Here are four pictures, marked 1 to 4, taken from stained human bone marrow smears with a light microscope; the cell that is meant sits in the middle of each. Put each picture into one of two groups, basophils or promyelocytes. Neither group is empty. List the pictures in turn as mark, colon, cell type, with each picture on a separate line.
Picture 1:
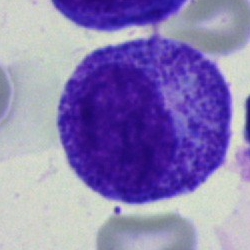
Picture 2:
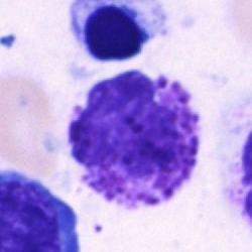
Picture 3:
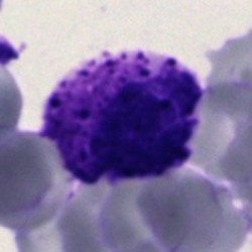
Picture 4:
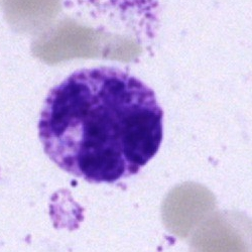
1: promyelocyte
2: basophil
3: basophil
4: basophil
